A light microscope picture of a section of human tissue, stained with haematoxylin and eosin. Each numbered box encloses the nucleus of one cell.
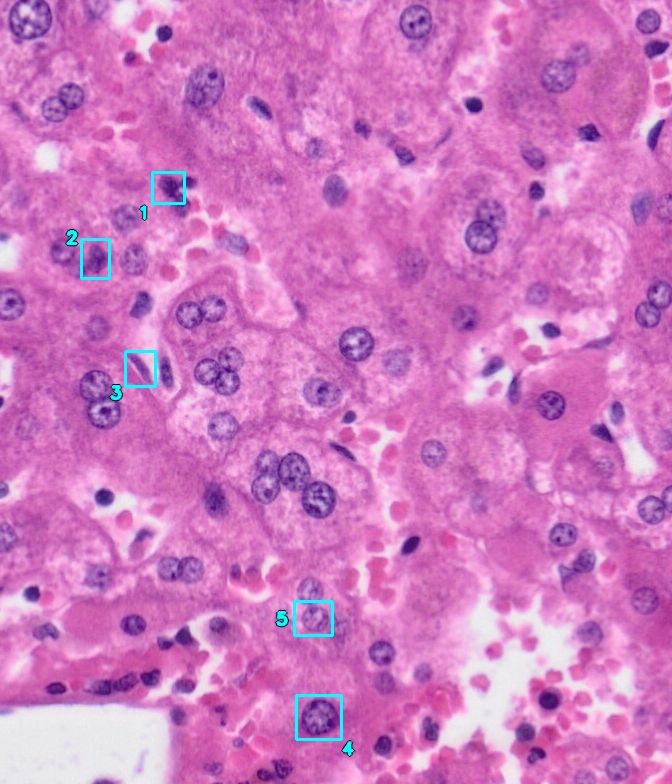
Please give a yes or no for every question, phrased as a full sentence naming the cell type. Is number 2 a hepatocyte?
No, the cell tagged 2 is a fibroblast or stellate cell, and not a hepatocyte.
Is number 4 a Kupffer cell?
No, cell 4 should be classed as a hepatocyte, not as a Kupffer cell.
